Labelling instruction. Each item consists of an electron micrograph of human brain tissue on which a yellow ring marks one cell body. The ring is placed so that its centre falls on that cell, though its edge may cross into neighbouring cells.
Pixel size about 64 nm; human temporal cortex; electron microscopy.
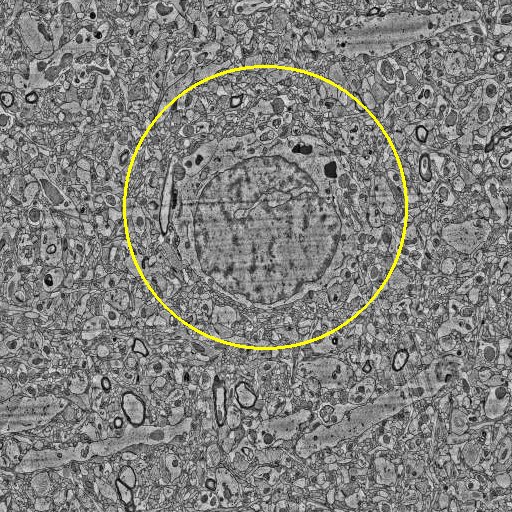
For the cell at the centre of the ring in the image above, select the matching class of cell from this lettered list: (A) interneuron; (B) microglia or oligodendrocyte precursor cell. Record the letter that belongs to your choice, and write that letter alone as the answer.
A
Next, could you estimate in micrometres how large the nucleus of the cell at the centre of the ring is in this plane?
In this plane, the nucleus measures approximately 9 micrometres across.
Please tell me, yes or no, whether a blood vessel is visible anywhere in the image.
No, there is no blood vessel.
